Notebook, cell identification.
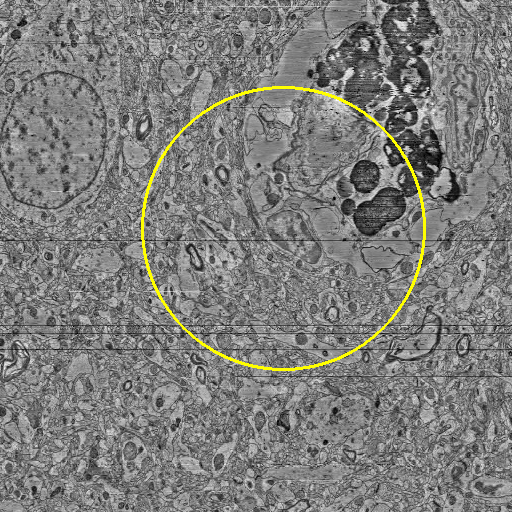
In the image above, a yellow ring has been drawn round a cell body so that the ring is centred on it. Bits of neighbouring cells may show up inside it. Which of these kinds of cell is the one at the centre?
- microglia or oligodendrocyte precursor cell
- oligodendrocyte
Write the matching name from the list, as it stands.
microglia or oligodendrocyte precursor cell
